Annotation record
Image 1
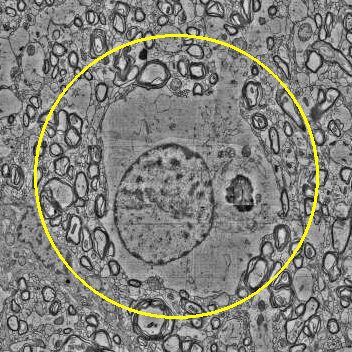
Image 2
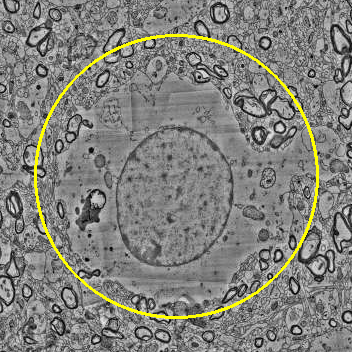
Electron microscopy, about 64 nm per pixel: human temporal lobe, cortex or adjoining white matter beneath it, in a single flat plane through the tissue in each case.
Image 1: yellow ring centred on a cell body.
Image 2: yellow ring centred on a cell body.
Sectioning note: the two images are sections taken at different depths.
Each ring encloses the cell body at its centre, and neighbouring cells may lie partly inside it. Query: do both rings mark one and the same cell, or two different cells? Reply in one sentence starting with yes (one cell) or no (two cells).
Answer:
No, the rings mark separate cells, one per ring.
